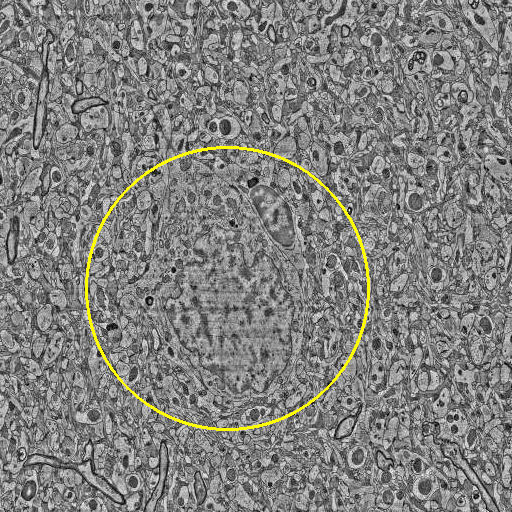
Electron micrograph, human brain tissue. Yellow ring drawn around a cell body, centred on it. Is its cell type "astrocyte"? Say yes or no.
no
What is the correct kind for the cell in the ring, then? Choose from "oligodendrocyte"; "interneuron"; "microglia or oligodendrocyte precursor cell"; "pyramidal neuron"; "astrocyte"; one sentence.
That cell in the ring is an interneuron instead.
